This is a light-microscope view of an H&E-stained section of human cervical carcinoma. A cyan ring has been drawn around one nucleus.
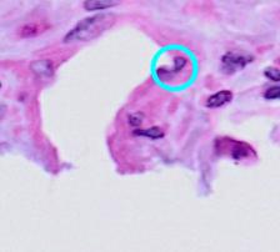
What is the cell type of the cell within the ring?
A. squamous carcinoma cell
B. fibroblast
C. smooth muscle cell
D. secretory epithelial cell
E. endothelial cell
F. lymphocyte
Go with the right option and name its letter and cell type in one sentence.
Option E is the correct one: the cell within the ring is an endothelial cell.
